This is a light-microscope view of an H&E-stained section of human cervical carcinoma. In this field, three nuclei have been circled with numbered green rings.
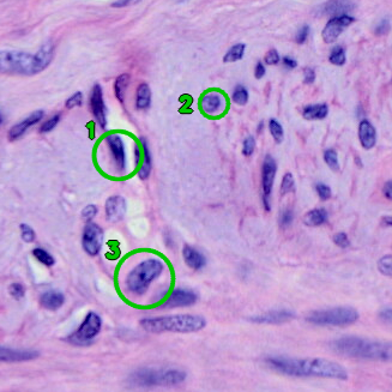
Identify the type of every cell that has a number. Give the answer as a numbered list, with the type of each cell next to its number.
1. endothelial cell
2. smooth muscle cell
3. endothelial cell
